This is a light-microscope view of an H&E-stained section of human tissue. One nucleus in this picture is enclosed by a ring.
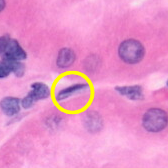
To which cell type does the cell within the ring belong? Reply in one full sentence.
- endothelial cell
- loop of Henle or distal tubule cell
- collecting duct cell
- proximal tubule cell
This is an endothelial cell.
